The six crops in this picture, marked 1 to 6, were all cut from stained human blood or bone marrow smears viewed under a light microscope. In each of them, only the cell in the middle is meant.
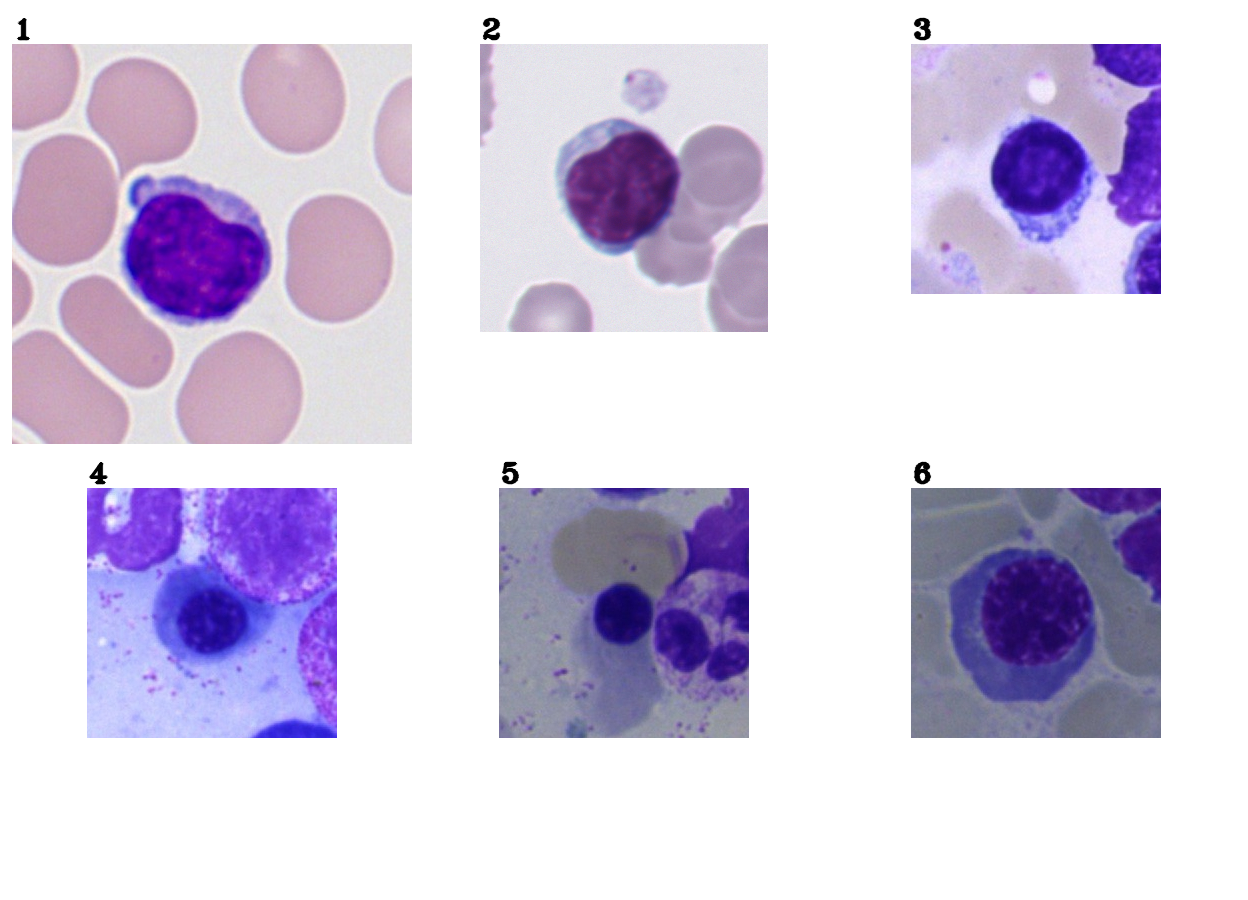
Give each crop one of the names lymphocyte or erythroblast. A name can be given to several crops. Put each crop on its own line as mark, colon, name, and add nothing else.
1: lymphocyte
2: lymphocyte
3: lymphocyte
4: erythroblast
5: erythroblast
6: erythroblast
